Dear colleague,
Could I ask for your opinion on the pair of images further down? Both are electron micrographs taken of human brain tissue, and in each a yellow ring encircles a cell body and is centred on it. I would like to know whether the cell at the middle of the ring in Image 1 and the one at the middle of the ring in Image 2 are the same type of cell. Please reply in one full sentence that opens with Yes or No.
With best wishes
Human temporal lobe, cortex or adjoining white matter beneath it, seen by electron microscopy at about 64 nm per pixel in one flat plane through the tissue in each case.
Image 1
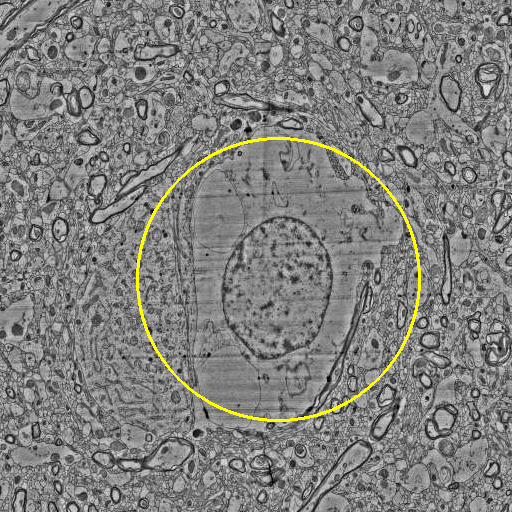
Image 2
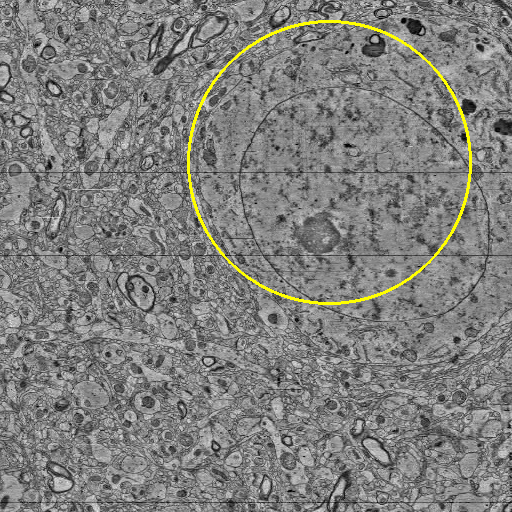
No, the cells at the ring centres in Image 1 and Image 2 are of two types.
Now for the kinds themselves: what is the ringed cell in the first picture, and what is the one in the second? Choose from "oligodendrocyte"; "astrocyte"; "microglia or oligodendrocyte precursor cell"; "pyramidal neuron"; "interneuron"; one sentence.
Here the first cell is an astrocyte and the second cell is a pyramidal neuron.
